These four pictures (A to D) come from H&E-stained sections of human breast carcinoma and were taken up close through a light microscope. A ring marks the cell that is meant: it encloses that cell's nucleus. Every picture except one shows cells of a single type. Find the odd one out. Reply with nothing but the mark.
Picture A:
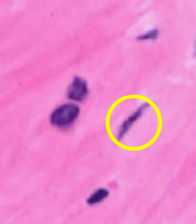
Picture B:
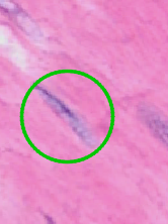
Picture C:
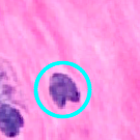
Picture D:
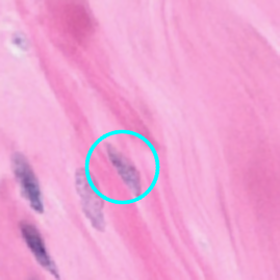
C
